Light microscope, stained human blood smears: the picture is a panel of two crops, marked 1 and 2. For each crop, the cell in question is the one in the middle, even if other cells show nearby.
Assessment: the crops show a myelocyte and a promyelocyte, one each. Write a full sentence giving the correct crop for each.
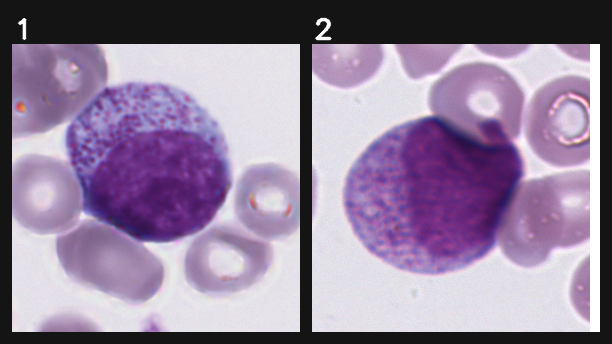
In crop 1 there is a promyelocyte, and in crop 2 there is a myelocyte.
